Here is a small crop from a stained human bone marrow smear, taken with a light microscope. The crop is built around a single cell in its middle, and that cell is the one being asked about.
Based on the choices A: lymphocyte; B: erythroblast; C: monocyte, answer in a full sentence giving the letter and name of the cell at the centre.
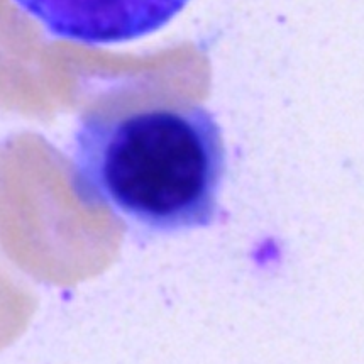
Option B holds up: the cell in the middle is an erythroblast.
